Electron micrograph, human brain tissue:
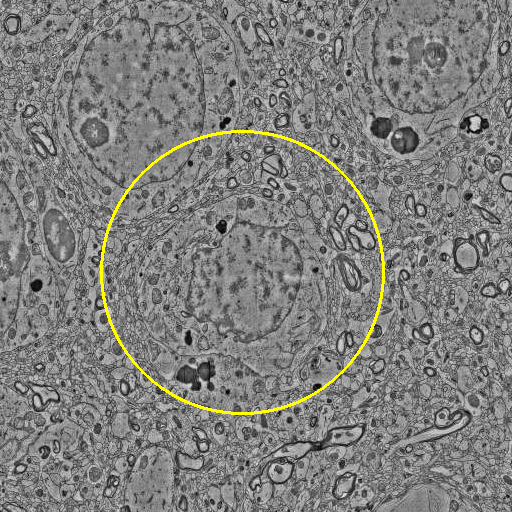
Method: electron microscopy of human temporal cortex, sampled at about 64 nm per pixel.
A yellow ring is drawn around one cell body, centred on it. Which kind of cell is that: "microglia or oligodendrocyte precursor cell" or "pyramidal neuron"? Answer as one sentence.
It is a pyramidal neuron at the centre of the ring.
